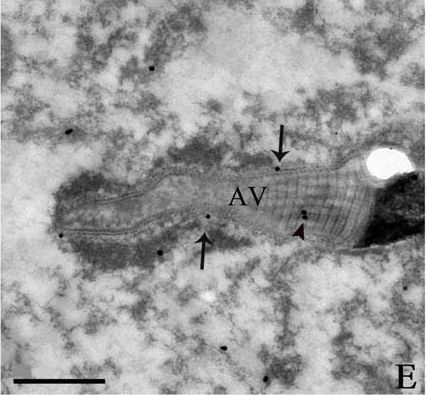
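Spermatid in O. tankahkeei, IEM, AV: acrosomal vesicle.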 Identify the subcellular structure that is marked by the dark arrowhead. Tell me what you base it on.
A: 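Inner striated structure. Inside the elongated vesicle runs a band of regular transverse striations. The arrowhead sits on this striated interior.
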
